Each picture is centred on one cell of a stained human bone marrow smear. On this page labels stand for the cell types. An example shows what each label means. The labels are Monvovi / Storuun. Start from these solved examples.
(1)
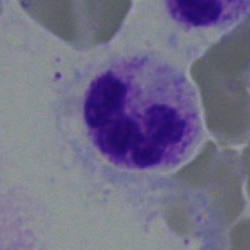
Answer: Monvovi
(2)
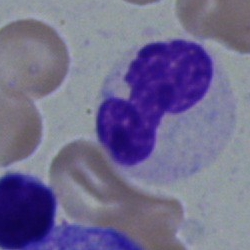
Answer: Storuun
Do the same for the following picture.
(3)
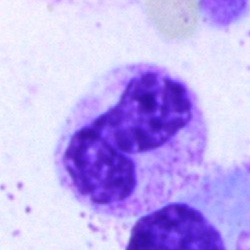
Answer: Storuun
